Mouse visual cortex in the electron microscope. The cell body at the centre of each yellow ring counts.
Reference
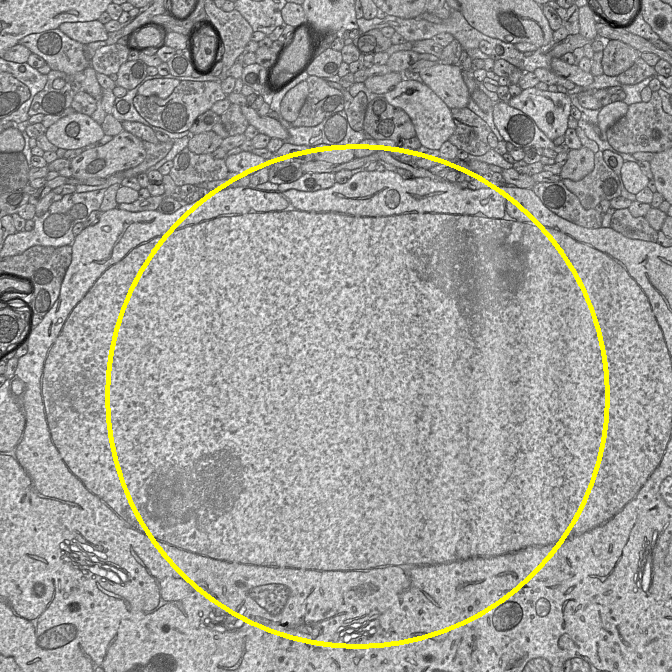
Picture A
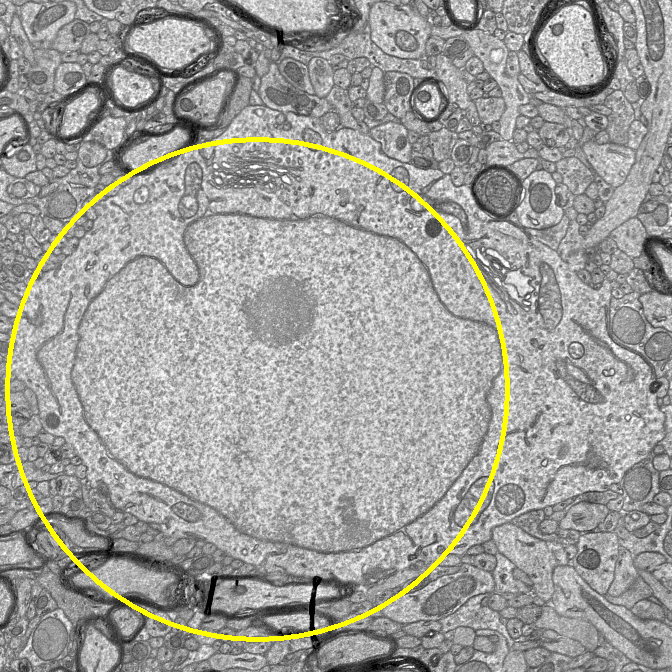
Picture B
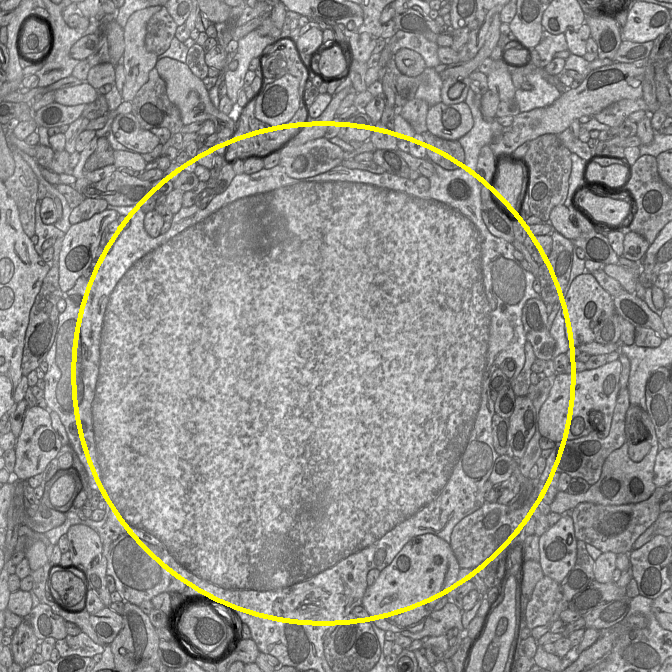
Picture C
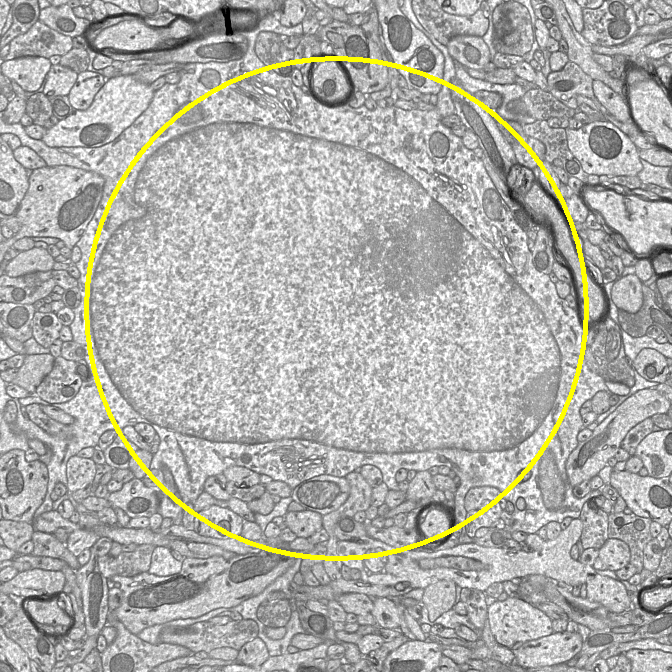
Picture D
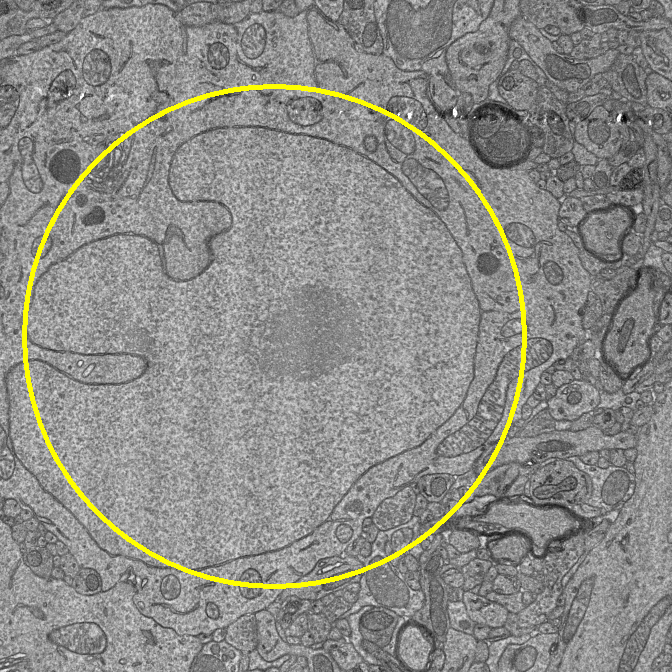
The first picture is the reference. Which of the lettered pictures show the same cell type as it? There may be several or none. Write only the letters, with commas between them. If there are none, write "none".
A, D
